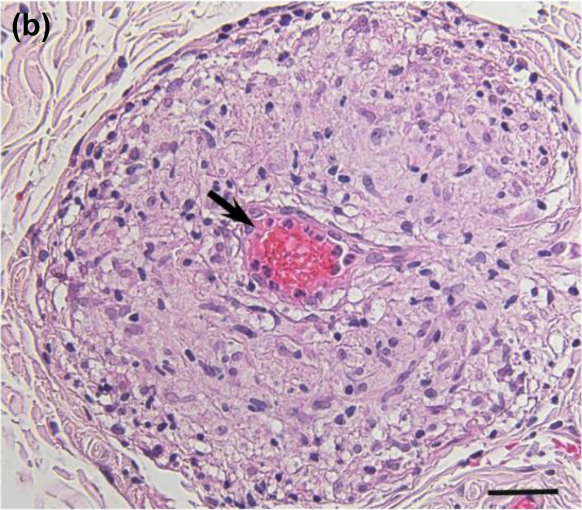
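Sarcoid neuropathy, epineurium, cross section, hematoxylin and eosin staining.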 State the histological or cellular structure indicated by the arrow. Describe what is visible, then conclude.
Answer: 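A small rounded space filled with red blood cells. It lies in the middle of a large cellular nodule.
Answer: vascular lumen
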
